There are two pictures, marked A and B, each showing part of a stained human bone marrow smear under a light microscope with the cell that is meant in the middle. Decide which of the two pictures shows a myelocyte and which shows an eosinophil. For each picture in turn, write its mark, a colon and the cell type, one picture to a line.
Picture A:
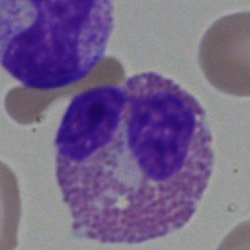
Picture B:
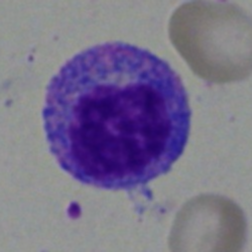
A: eosinophil
B: myelocyte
